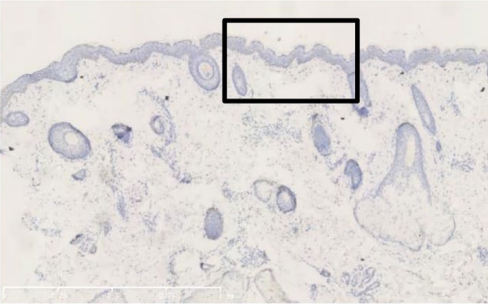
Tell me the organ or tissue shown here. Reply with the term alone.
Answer: Normal skin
